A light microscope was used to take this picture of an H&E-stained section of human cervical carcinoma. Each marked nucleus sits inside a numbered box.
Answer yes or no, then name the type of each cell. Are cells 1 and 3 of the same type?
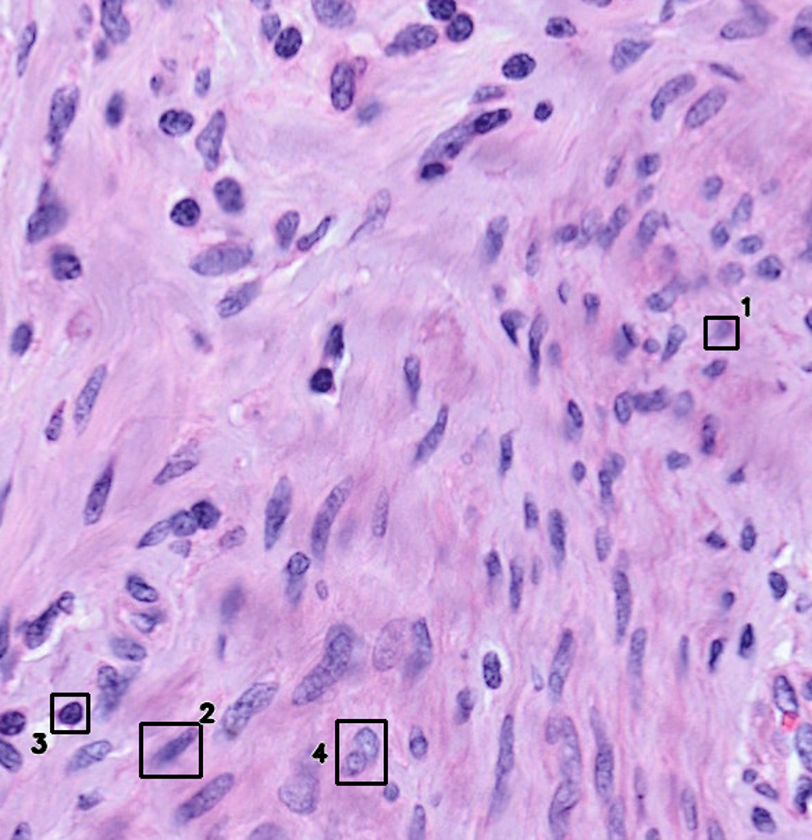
No, cell 1 is a smooth muscle cell and cell 3 is a lymphocyte.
